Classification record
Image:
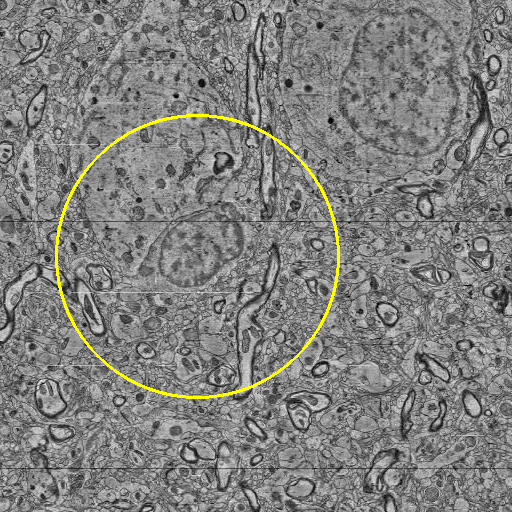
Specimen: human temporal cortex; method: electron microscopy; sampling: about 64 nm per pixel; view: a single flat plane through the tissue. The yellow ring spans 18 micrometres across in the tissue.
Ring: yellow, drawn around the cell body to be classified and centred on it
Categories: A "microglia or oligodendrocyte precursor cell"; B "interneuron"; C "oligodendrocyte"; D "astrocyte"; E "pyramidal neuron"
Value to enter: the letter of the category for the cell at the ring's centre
C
